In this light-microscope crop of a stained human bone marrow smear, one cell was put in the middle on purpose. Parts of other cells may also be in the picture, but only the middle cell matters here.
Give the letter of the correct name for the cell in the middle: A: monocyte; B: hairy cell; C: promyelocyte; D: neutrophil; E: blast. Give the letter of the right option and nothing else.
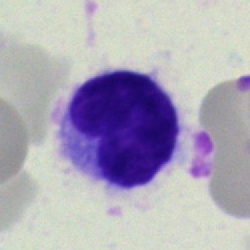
B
